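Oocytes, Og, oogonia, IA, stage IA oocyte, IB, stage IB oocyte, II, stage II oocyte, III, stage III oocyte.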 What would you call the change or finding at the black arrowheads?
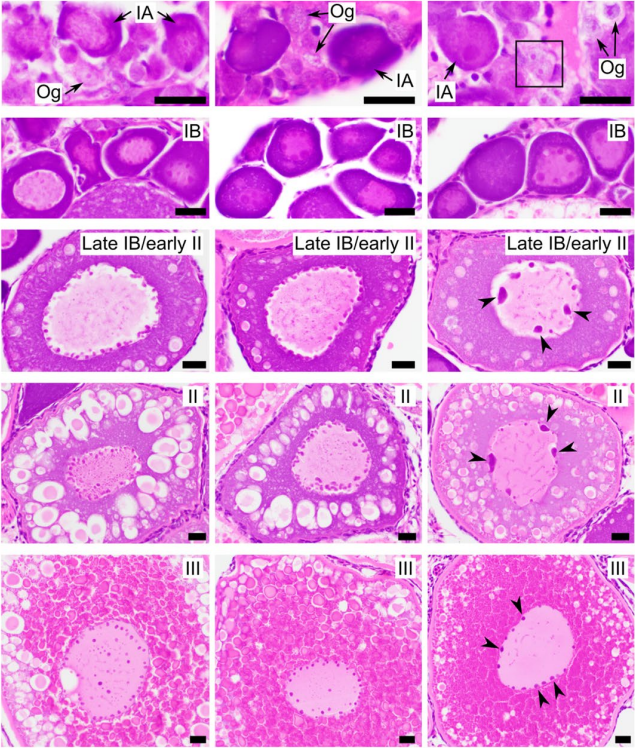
Aggregated nucleolar material around nuclear margins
